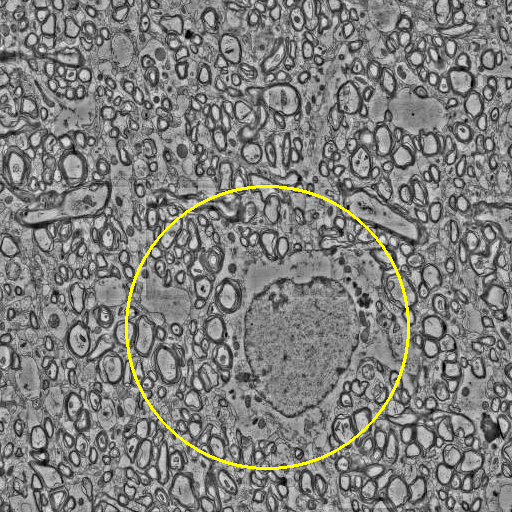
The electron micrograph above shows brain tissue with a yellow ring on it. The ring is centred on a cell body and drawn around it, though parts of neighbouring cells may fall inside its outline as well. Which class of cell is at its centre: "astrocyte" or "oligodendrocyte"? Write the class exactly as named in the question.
astrocyte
